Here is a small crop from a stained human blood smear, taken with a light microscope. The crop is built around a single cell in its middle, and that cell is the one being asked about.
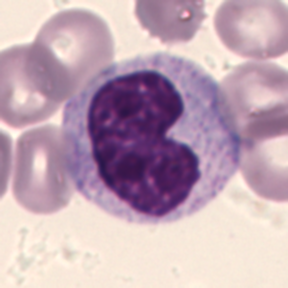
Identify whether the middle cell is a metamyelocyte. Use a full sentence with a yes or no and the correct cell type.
Yes, the cell in the middle of the crop is a metamyelocyte.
